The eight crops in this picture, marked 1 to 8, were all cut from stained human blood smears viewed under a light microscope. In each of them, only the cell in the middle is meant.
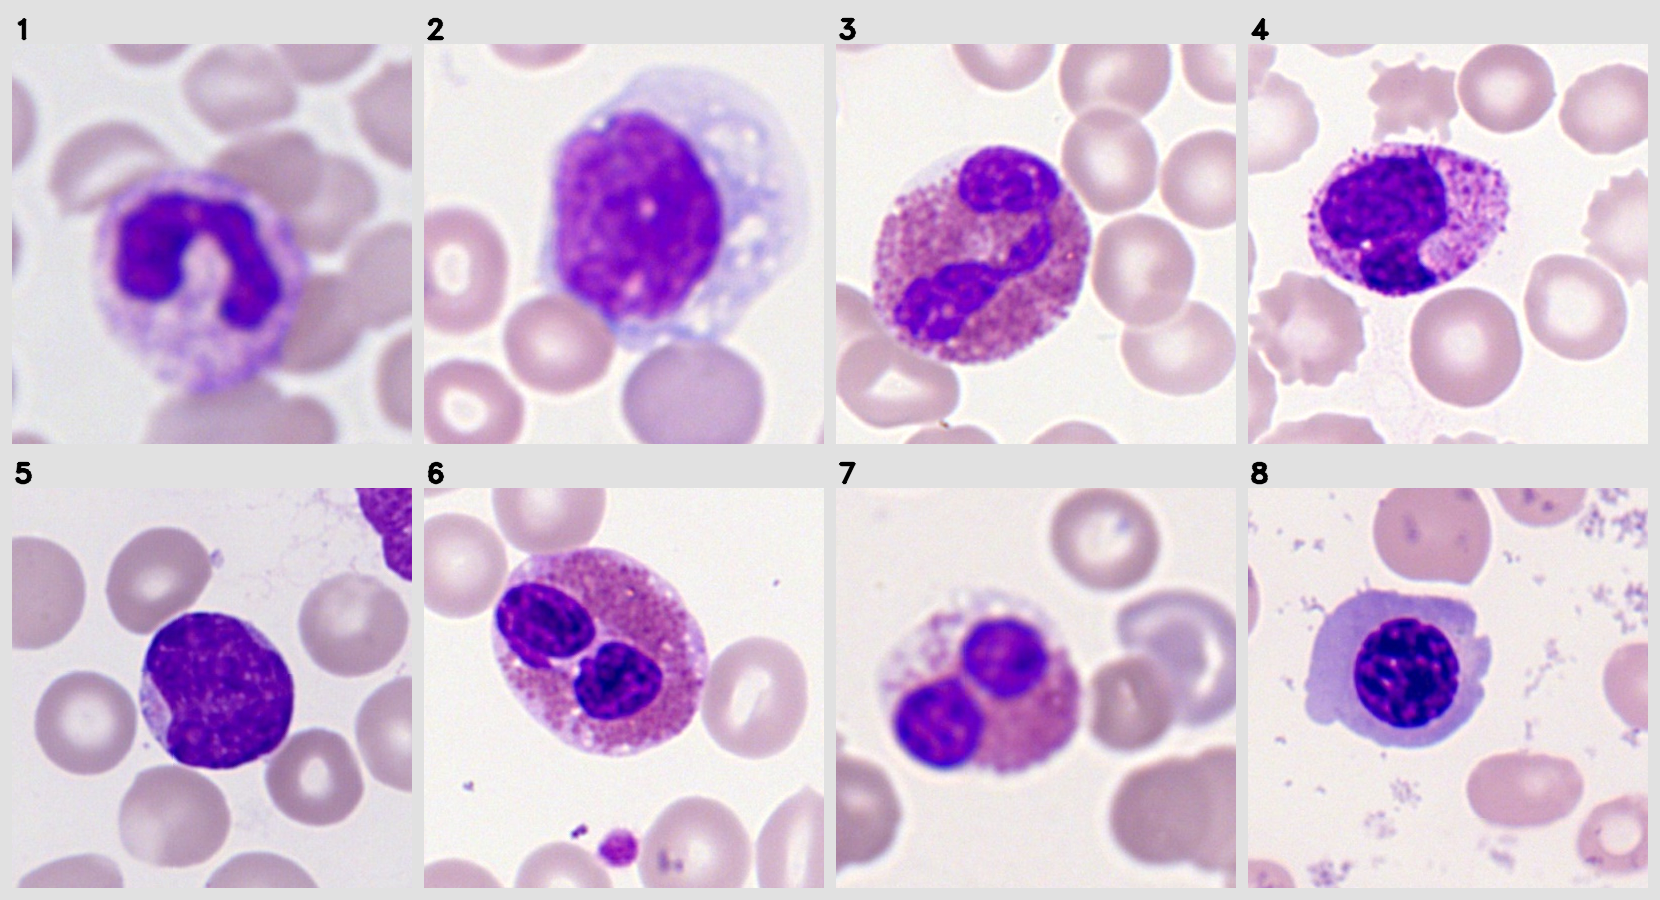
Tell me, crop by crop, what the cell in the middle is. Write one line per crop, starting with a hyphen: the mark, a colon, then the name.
- 1: band neutrophil
- 2: monocyte
- 3: eosinophil
- 4: basophil
- 5: myeloblast
- 6: eosinophil
- 7: eosinophil
- 8: erythroblast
